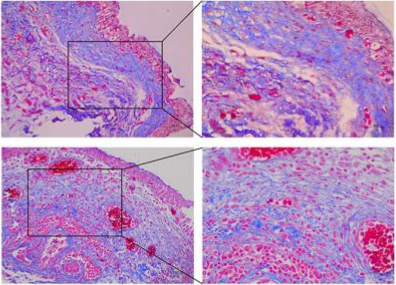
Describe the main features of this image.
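In the upper pair, broad bands of blue fibers run through the stroma beneath the surface layer, with scattered red-stained cells and small red vessels among them. In the lower pair, the blue fibers are paler and sparser, and the stroma looks more reddish and more cellular. Several large vessels there are packed with deep red blood cells. The enlargements on the right show the fibers at higher power: compare how much blue fills the field in the upper image with the lower one.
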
